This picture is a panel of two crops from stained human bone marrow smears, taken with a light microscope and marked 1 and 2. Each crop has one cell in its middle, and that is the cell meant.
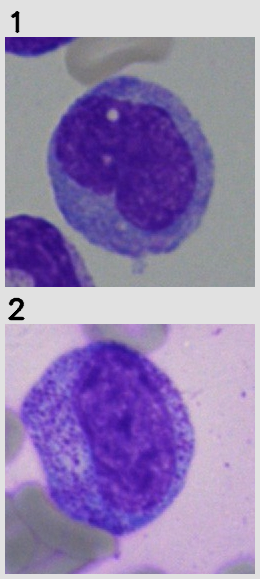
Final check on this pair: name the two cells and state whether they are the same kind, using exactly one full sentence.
No, crop 1 is to be identified as a monocyte and crop 2 as a myelocyte.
